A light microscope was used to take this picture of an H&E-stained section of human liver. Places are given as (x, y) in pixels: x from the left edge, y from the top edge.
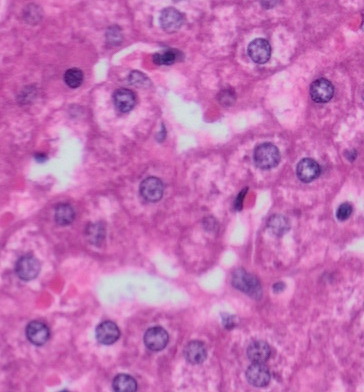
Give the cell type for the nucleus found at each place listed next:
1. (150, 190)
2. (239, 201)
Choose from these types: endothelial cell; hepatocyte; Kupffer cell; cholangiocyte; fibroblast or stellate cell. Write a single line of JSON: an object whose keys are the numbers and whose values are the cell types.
{"1": "hepatocyte", "2": "endothelial cell"}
